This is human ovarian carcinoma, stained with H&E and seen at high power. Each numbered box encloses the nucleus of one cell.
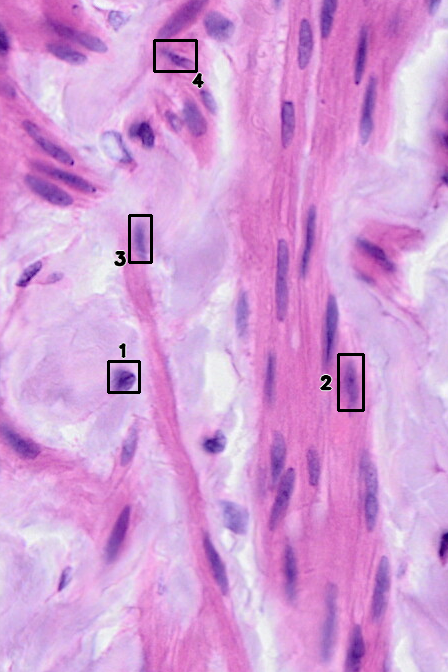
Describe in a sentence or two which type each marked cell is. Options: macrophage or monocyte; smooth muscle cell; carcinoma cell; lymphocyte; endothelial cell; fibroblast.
Cell 1 is a fibroblast, cell 2 is a smooth muscle cell, cell 3 is a smooth muscle cell and cell 4 is a smooth muscle cell.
